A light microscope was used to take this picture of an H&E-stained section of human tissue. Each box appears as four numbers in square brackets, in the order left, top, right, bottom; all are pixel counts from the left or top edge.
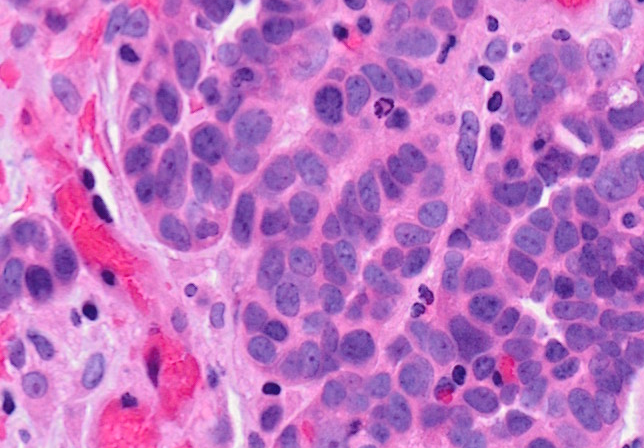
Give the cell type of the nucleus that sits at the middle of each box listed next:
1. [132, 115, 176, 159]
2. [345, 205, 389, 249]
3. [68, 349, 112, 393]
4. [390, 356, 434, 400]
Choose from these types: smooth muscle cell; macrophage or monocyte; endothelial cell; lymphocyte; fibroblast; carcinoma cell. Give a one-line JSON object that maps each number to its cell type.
{"1": "carcinoma cell", "2": "carcinoma cell", "3": "fibroblast", "4": "carcinoma cell"}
